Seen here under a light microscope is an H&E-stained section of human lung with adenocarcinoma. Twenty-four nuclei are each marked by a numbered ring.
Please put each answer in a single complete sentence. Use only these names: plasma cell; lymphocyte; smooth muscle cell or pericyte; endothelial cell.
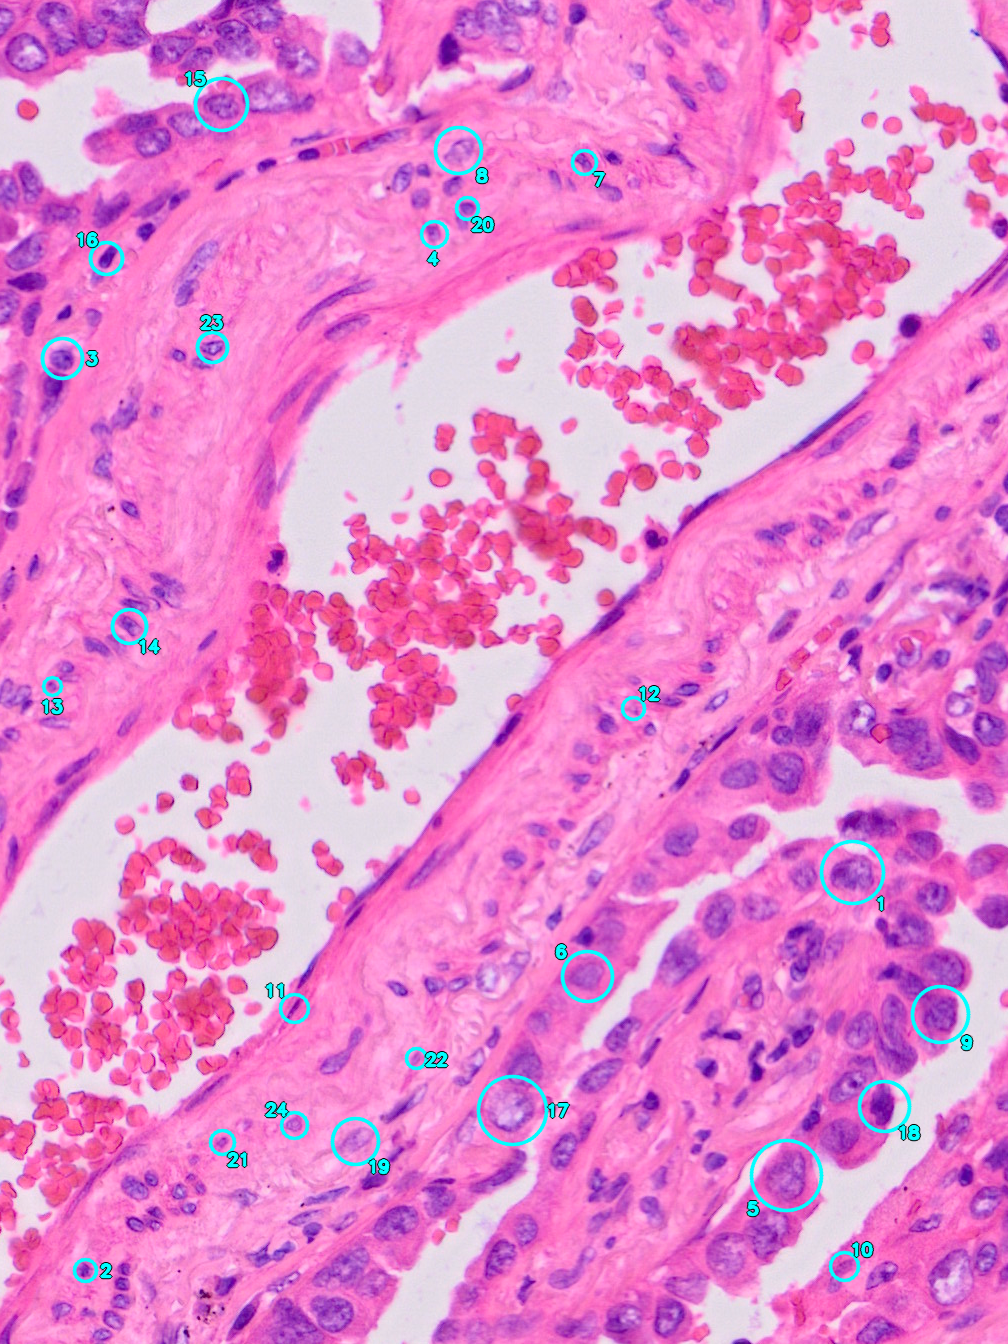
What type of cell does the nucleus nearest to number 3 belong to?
The cell nearest to number 3 is a plasma cell.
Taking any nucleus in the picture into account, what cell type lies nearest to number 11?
Number 11 lies closest to the nucleus of an endothelial cell.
